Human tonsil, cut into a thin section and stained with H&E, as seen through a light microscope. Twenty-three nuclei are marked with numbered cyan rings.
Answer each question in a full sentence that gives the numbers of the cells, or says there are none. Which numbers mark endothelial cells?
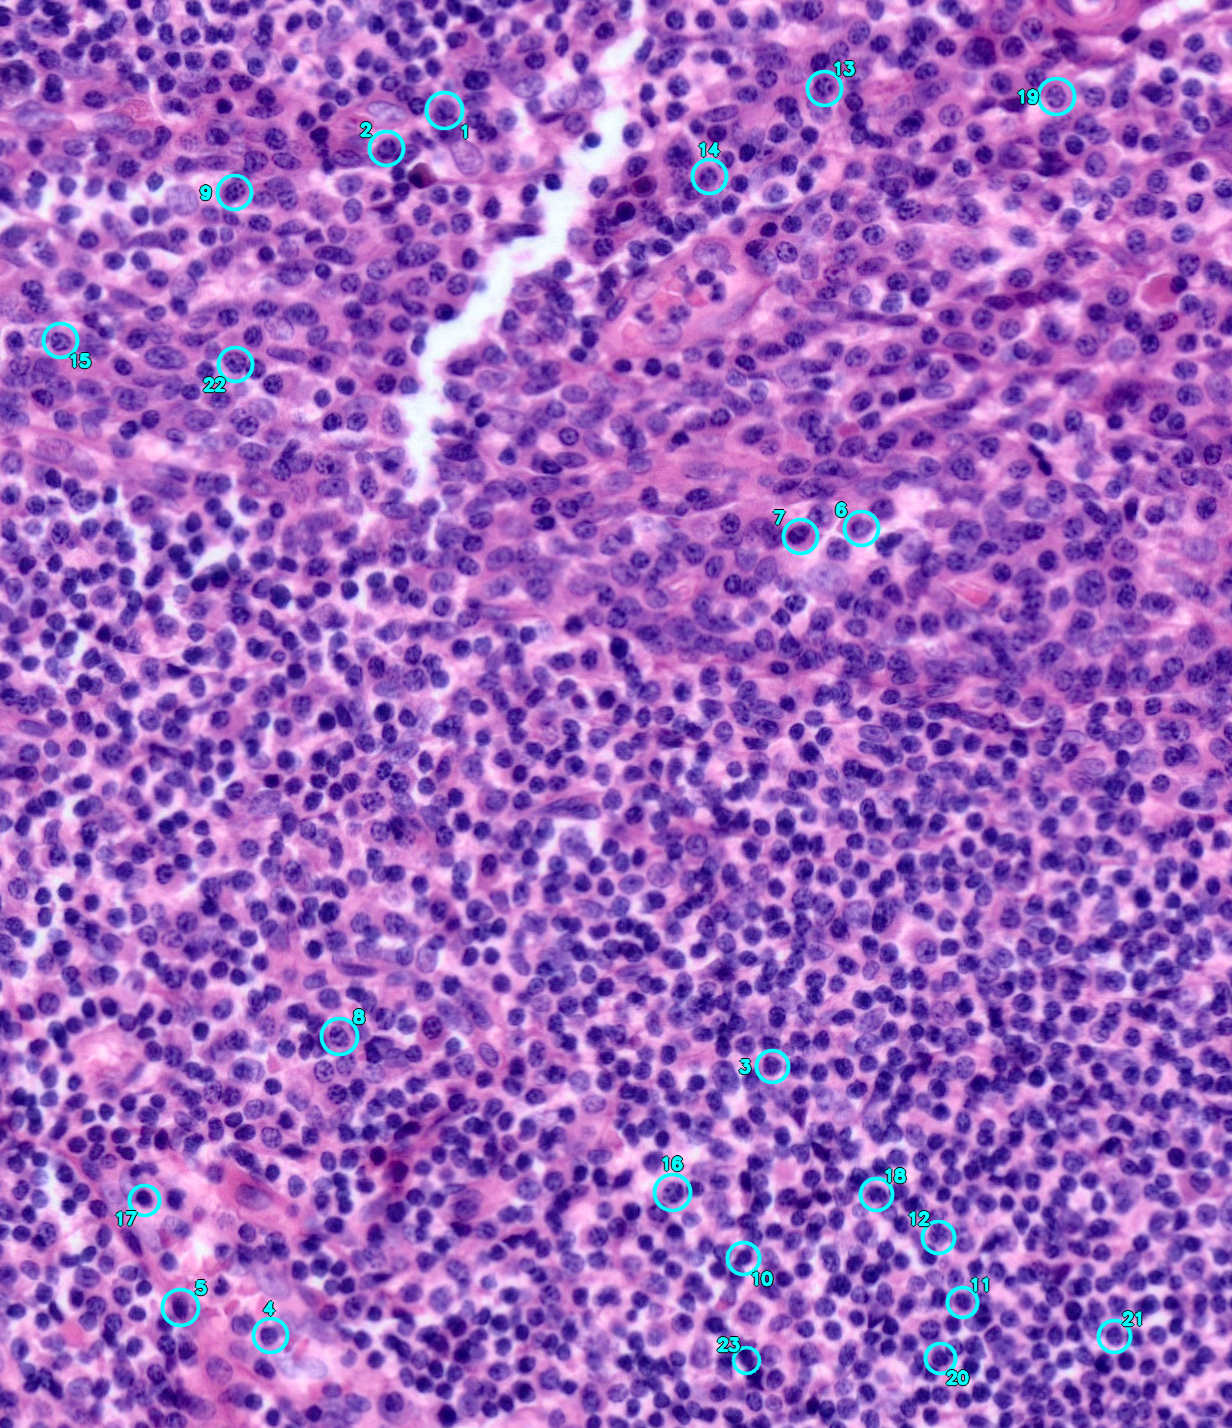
The cells which carry the numbers 4, 5 and 17 are endothelial cells.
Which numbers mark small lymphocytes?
Cells that were given the numbers 3, 10, 11, 12, 18, 20, 21 and 23 are small lymphocytes.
